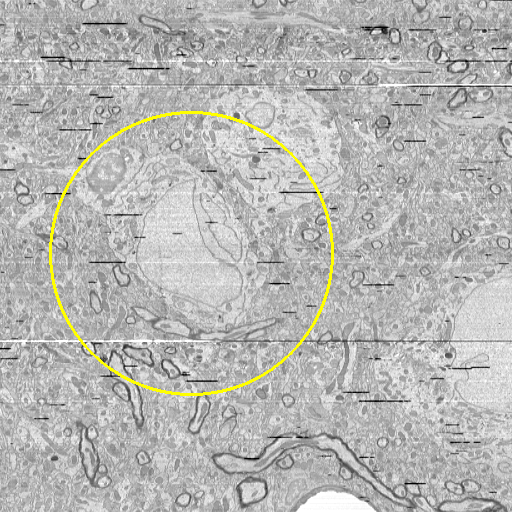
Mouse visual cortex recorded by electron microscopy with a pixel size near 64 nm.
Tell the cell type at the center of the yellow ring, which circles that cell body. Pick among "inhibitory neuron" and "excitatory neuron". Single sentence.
The ring is centered on the body of an inhibitory neuron.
